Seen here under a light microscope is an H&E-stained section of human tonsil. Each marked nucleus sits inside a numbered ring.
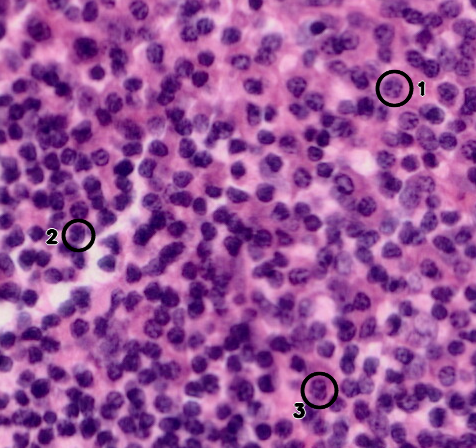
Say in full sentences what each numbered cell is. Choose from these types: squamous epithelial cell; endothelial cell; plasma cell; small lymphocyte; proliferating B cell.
Cells 1 and 3 are plasma cells. Cell 2 is a small lymphocyte.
